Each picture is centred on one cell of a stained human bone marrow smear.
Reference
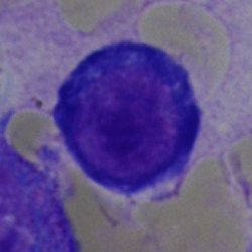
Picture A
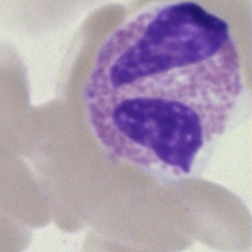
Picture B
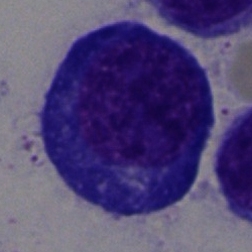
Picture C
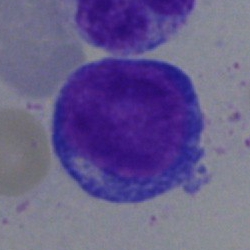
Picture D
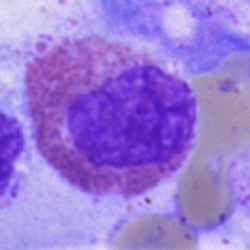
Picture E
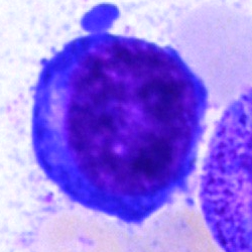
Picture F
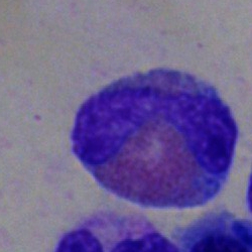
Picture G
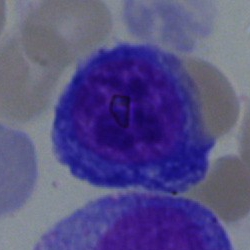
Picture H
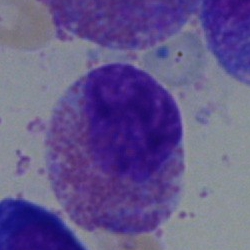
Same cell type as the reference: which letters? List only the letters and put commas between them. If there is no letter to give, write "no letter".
B, C, E, G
